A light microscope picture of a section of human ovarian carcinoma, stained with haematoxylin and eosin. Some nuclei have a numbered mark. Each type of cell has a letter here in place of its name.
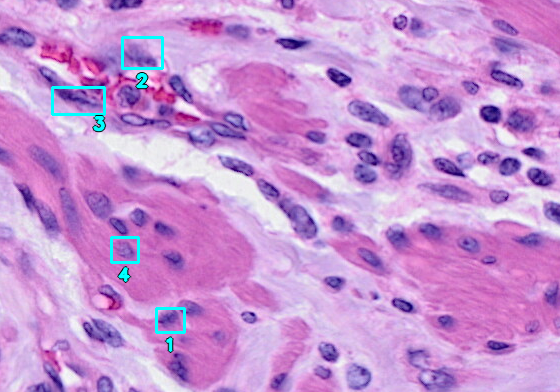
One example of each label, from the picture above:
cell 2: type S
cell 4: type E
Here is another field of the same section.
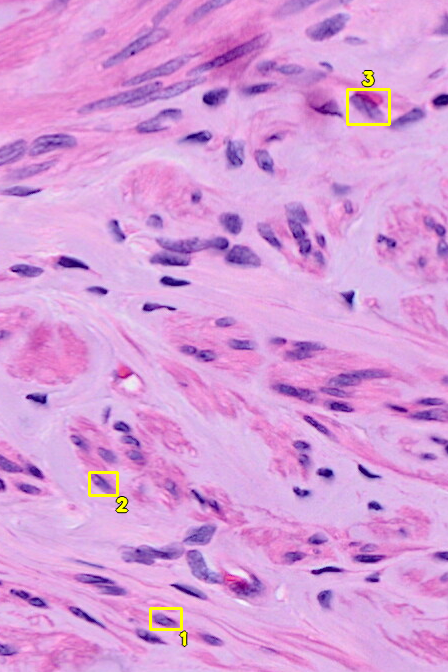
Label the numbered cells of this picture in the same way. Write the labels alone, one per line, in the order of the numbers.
type E
type E
type S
